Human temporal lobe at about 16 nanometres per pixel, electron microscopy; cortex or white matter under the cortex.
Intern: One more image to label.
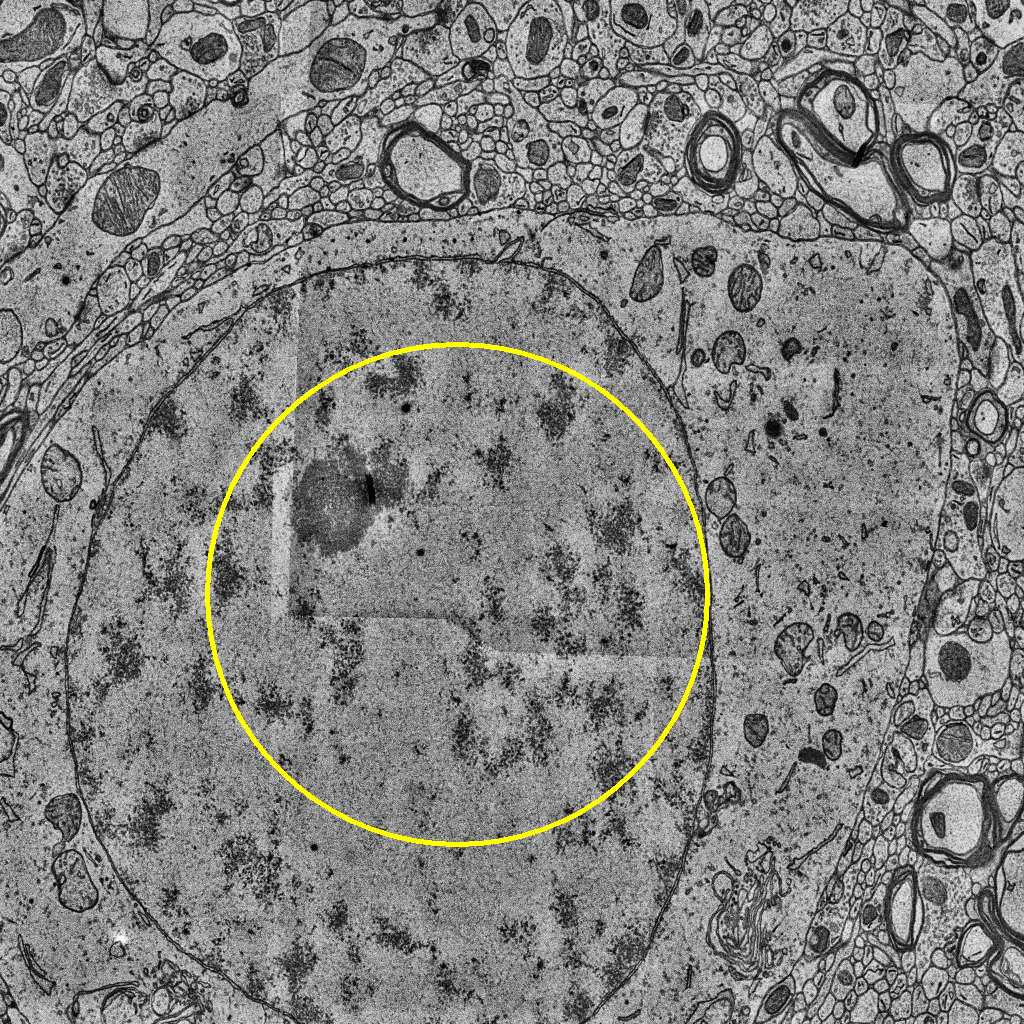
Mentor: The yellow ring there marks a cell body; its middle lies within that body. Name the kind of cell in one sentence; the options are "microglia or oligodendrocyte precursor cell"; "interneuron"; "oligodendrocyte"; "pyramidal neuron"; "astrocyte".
The ring marks the cell body of a pyramidal neuron.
